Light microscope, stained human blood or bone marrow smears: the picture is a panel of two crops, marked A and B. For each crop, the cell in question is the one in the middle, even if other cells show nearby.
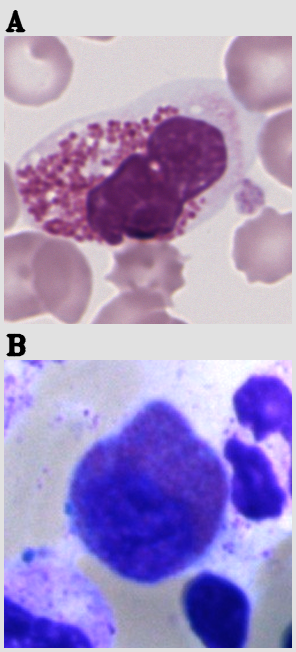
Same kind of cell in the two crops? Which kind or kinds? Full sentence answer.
Yes, eosinophils are shown in both crops.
